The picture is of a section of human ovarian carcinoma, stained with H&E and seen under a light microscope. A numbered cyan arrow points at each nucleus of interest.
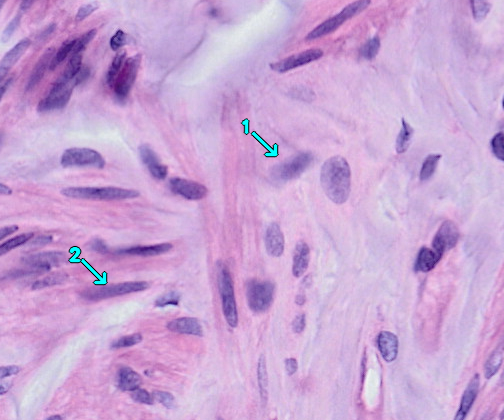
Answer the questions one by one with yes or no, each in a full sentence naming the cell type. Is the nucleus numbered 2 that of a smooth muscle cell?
Yes, on this slide, the cell with number 2 is a smooth muscle cell.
